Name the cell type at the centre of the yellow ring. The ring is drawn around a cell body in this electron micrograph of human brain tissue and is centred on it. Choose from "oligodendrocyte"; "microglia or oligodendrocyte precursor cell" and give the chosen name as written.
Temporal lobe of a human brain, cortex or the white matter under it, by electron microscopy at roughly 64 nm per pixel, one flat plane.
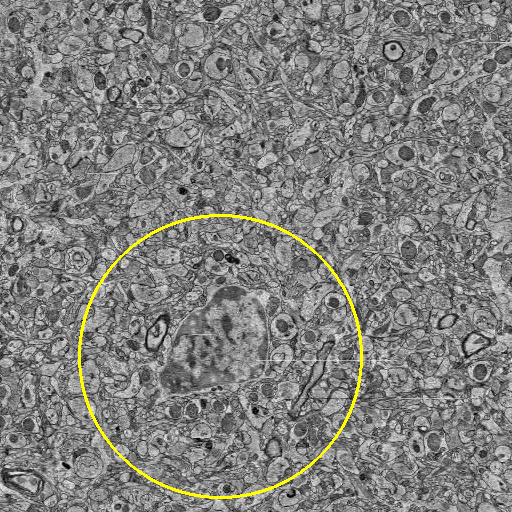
microglia or oligodendrocyte precursor cell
